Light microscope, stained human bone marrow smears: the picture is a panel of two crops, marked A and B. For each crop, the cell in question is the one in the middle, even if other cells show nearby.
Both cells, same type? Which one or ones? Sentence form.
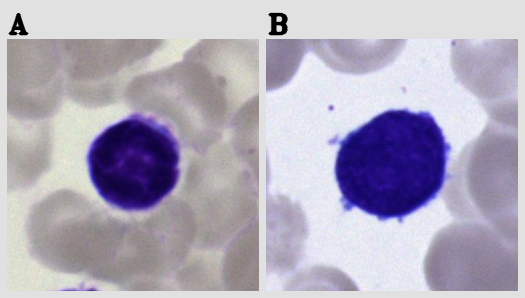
Yes, with regard to both crops, the central cells are lymphocytes.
